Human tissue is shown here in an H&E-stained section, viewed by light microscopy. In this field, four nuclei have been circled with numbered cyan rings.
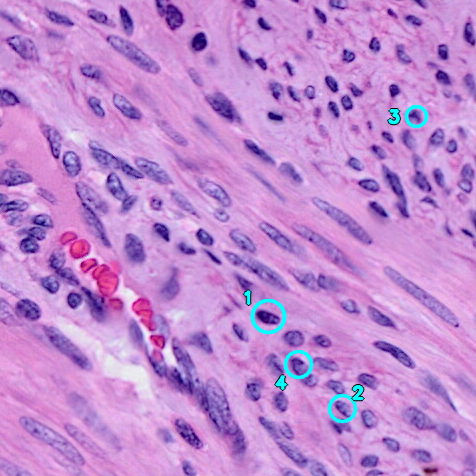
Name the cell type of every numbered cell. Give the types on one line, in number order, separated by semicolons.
lymphocyte; smooth muscle cell; smooth muscle cell; smooth muscle cell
